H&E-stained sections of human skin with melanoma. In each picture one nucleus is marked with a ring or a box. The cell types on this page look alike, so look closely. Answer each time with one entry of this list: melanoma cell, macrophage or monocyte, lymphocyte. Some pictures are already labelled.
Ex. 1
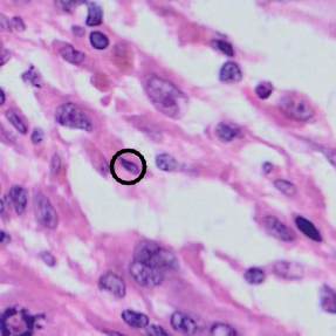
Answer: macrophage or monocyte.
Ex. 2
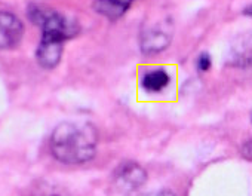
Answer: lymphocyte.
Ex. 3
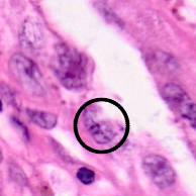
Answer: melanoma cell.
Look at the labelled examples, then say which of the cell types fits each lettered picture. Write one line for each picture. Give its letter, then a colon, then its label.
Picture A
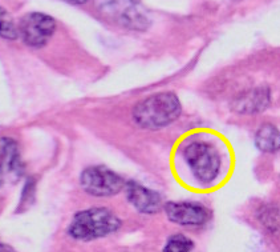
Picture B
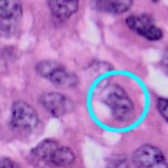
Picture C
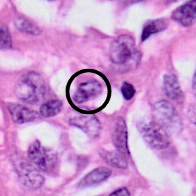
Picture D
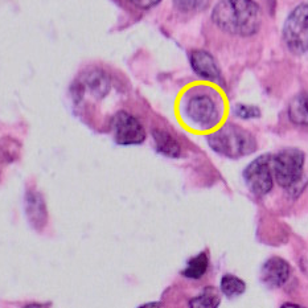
A: melanoma cell.
B: melanoma cell.
C: melanoma cell.
D: melanoma cell.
